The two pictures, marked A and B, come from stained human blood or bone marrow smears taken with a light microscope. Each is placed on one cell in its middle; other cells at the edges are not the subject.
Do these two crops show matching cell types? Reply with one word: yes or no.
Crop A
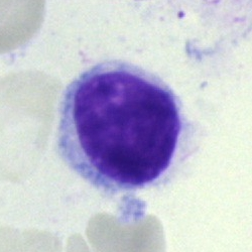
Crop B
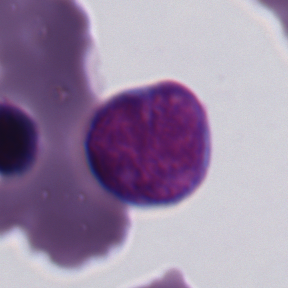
no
